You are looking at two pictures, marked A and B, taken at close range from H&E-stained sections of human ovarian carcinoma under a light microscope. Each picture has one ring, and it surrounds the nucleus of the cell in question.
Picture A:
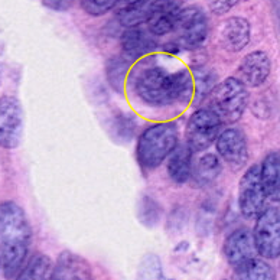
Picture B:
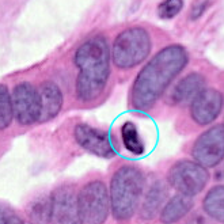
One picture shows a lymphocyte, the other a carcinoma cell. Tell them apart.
A: carcinoma cell
B: lymphocyte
